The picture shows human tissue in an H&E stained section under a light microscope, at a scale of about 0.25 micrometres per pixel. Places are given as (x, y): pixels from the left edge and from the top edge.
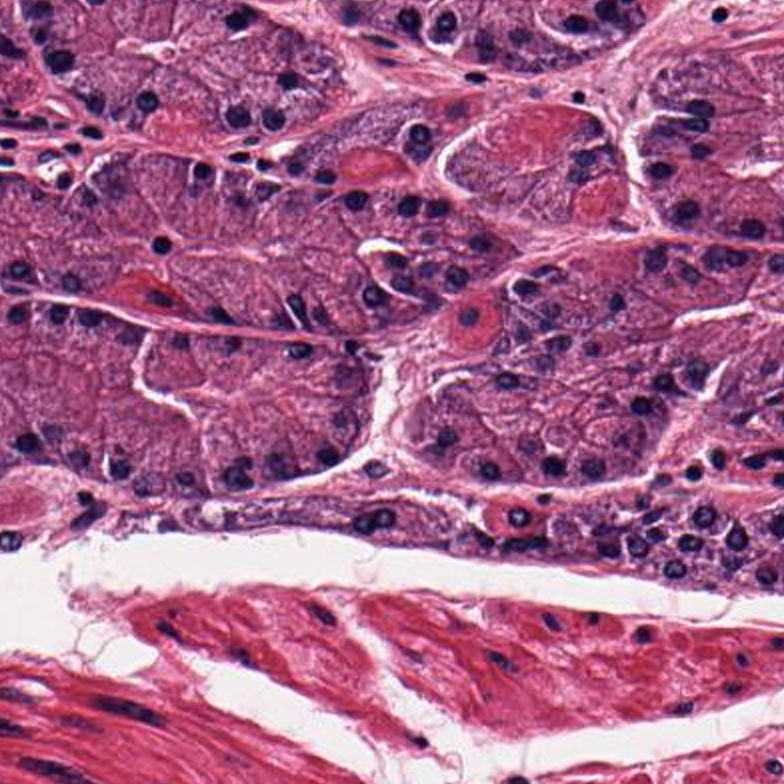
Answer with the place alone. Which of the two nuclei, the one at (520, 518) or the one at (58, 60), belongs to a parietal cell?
(520, 518)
